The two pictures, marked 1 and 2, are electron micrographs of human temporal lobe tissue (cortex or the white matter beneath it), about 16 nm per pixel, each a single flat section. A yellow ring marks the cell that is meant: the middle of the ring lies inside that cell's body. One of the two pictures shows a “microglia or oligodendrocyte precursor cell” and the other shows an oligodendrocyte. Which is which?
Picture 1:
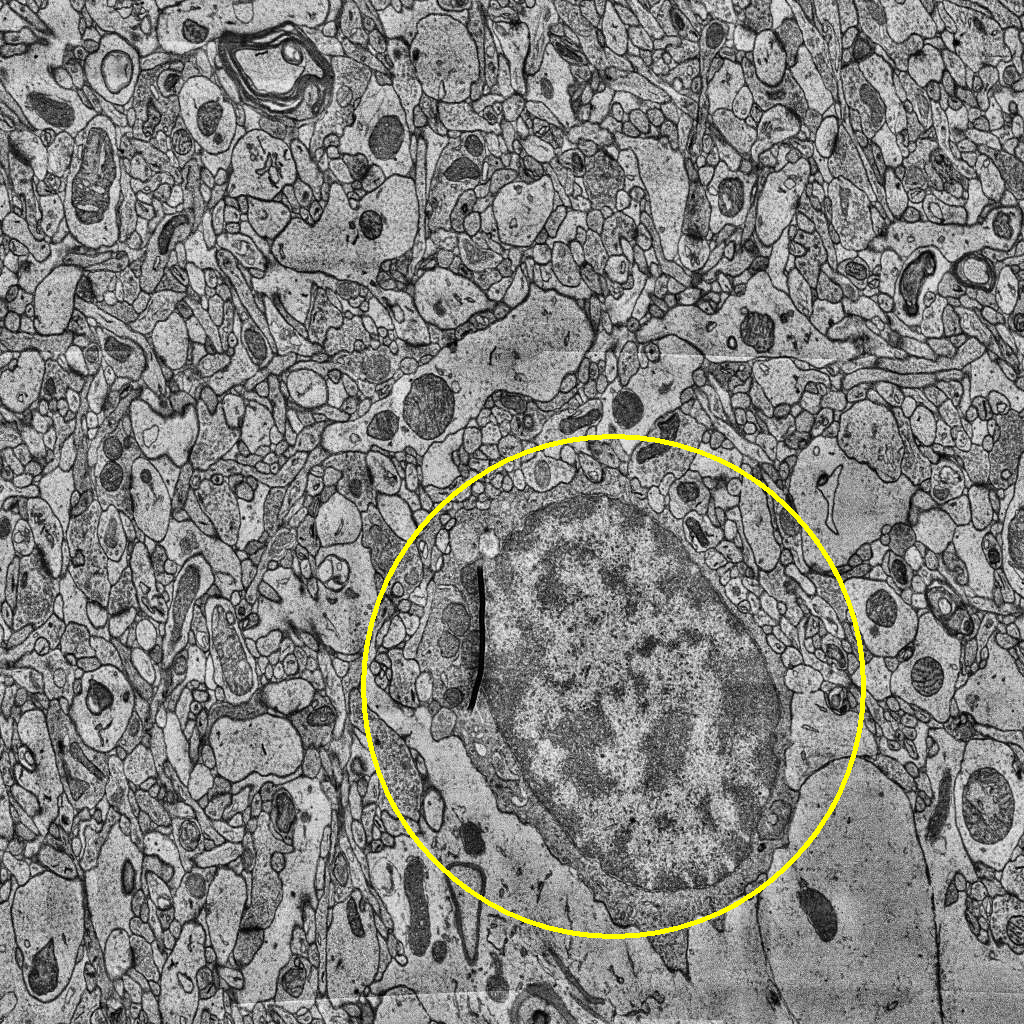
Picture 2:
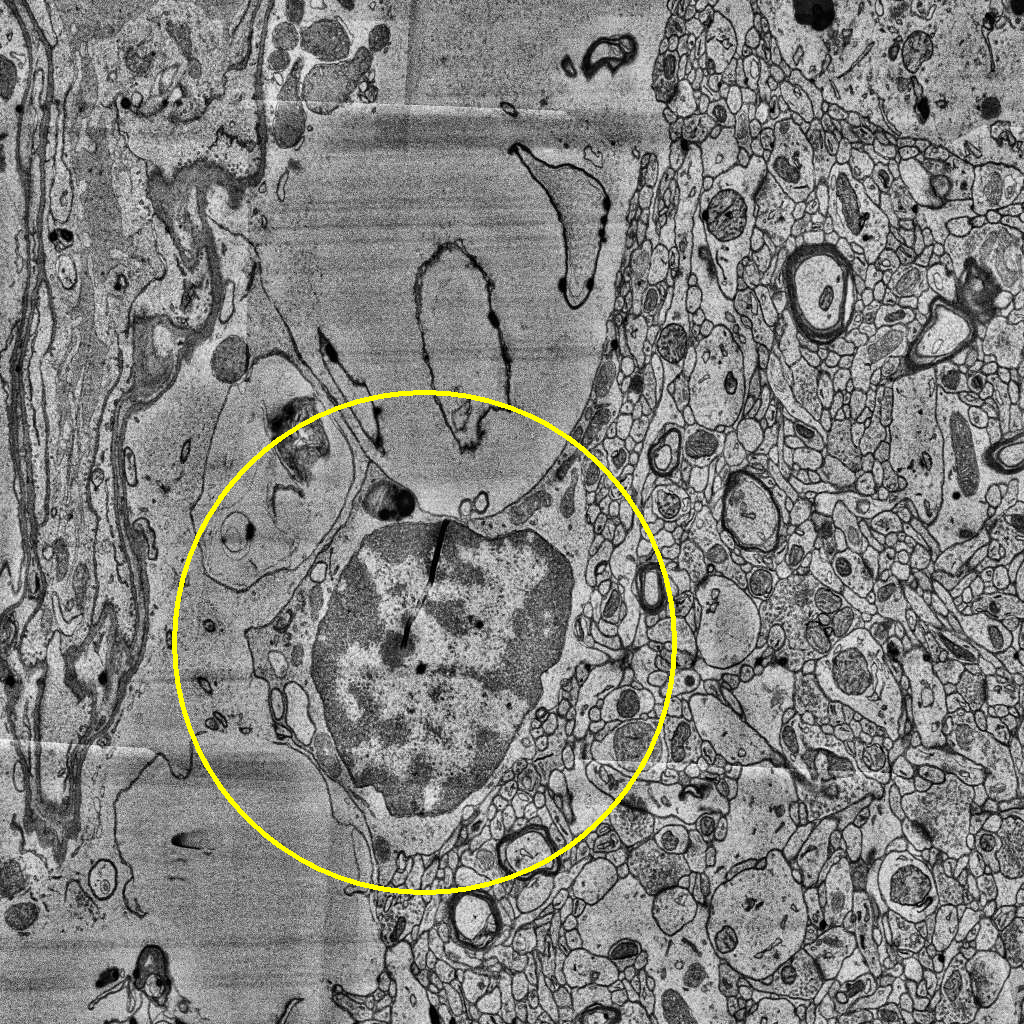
Picture 2 shows a “microglia or oligodendrocyte precursor cell”, while picture 1 shows an oligodendrocyte.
